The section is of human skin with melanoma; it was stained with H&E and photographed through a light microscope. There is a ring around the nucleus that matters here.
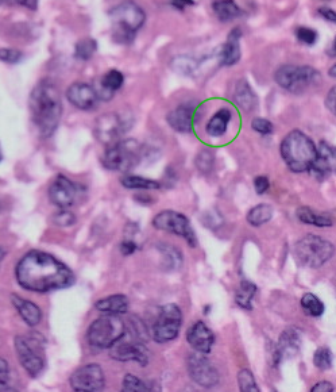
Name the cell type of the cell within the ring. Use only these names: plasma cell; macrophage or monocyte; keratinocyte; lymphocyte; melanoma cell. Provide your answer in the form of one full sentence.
The identity of the cell within the ring: it is a lymphocyte.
